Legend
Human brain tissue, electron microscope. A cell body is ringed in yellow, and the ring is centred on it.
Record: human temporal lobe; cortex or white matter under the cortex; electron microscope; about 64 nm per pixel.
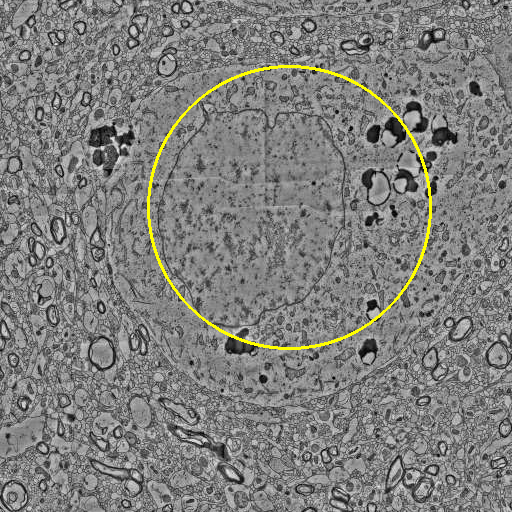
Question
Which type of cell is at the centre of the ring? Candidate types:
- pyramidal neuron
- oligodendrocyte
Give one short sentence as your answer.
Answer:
The yellow ring is centred here on a pyramidal neuron.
